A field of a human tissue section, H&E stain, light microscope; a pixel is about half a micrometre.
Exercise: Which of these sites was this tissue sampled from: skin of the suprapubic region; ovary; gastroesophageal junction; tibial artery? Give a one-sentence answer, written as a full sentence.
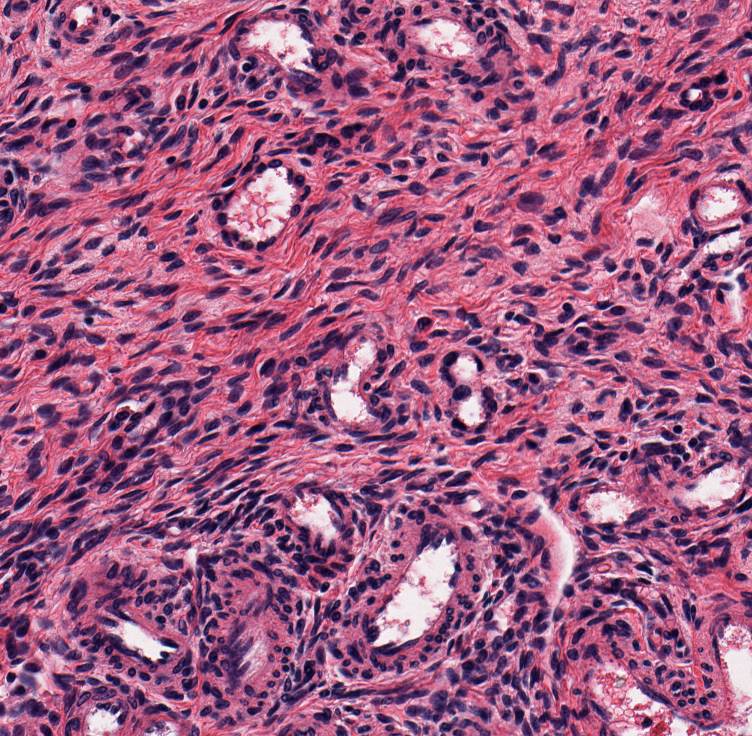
The section was prepared from tissue of the ovary.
